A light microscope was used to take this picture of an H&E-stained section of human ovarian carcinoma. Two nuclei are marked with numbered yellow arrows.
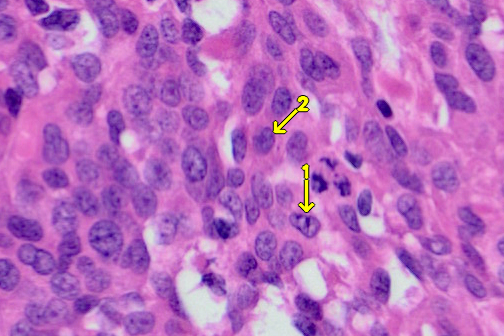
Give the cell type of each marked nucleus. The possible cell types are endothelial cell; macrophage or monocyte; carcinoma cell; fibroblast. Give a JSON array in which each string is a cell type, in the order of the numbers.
["macrophage or monocyte", "carcinoma cell"]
